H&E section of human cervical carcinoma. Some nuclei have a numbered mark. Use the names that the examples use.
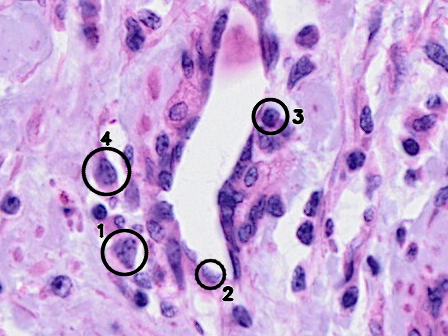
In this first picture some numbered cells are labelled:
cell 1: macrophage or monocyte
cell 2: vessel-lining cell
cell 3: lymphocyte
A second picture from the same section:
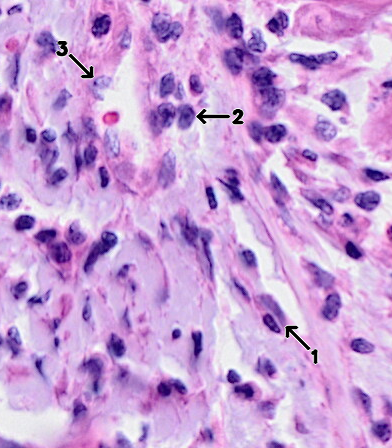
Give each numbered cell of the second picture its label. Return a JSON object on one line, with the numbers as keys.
{"1": "macrophage or monocyte", "2": "lymphocyte", "3": "vessel-lining cell"}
